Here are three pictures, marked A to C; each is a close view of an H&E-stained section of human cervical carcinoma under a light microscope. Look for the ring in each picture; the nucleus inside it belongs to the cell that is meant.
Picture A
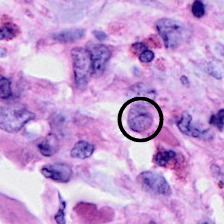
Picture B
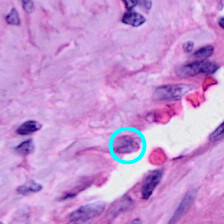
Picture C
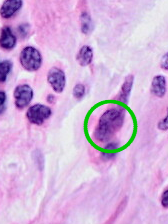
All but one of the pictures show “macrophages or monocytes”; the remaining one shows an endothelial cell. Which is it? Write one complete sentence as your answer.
Picture B shows the endothelial cell.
